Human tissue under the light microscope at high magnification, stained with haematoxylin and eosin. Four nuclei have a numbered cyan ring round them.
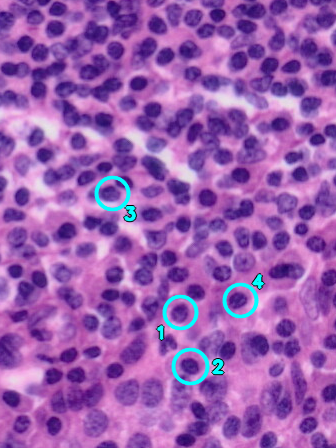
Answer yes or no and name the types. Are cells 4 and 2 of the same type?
Yes, sure, cells 4 and 2 are both plasma cells.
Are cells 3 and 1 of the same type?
No, as for cell 3, it is a small lymphocyte, and cell 1 is a plasma cell.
